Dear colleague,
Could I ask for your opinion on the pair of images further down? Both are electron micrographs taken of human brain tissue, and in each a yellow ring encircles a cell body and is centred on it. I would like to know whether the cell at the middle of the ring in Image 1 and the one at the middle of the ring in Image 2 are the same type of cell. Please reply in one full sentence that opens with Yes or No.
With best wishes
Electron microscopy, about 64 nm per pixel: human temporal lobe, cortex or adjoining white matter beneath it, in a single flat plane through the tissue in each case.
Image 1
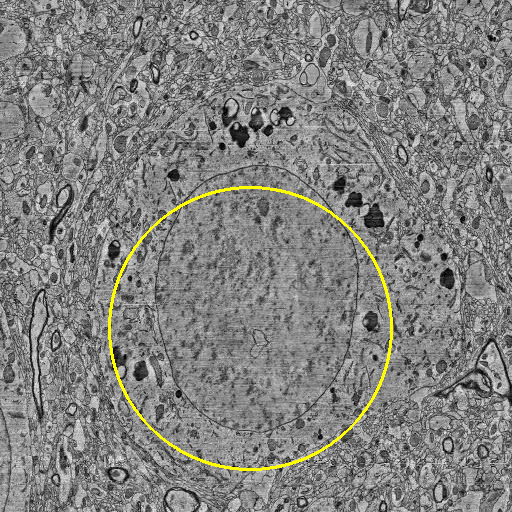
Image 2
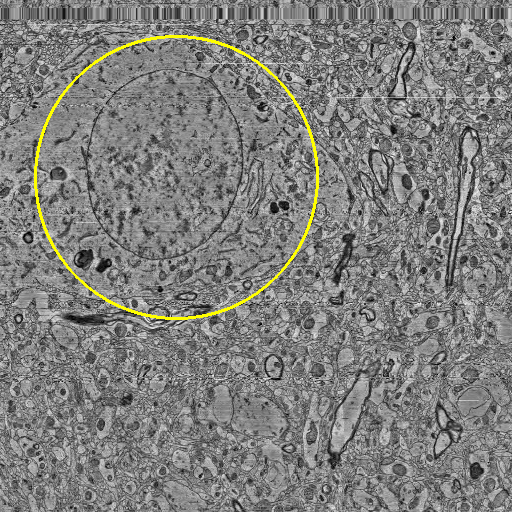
Yes, the cells at the ring centres in Image 1 and Image 2 are of one type.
